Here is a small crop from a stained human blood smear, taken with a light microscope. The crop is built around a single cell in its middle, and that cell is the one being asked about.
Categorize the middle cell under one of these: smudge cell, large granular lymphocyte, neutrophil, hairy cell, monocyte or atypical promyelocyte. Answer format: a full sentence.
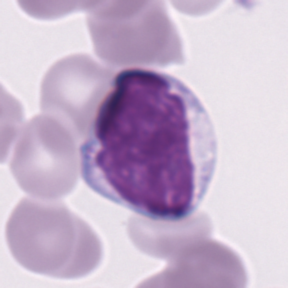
The cell nearest the centre of this crop is a large granular lymphocyte.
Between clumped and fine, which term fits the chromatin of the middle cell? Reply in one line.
Answer: the chromatin in this nucleus is coarsely clumped.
